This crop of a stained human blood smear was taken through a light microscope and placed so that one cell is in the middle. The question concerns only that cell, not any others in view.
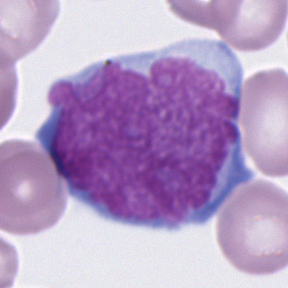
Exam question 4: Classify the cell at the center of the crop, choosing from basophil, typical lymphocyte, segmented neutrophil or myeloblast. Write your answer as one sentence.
The cell sitting right in the middle is a myeloblast.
